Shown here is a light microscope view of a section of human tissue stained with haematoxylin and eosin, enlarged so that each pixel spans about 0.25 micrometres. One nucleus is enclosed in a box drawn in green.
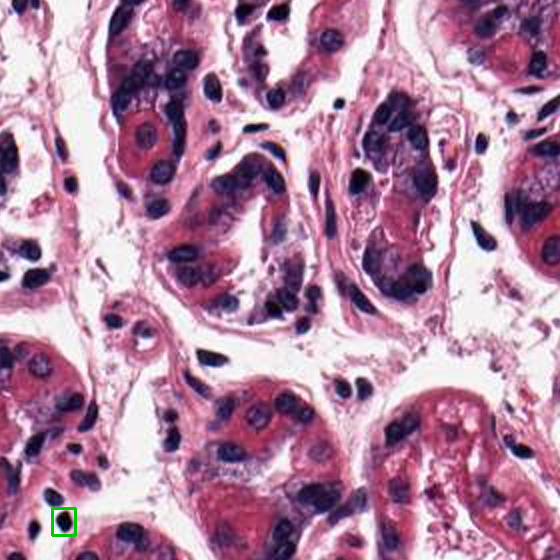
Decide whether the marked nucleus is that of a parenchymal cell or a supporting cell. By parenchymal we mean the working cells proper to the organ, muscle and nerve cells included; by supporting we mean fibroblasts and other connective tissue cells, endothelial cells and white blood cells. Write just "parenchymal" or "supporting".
supporting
